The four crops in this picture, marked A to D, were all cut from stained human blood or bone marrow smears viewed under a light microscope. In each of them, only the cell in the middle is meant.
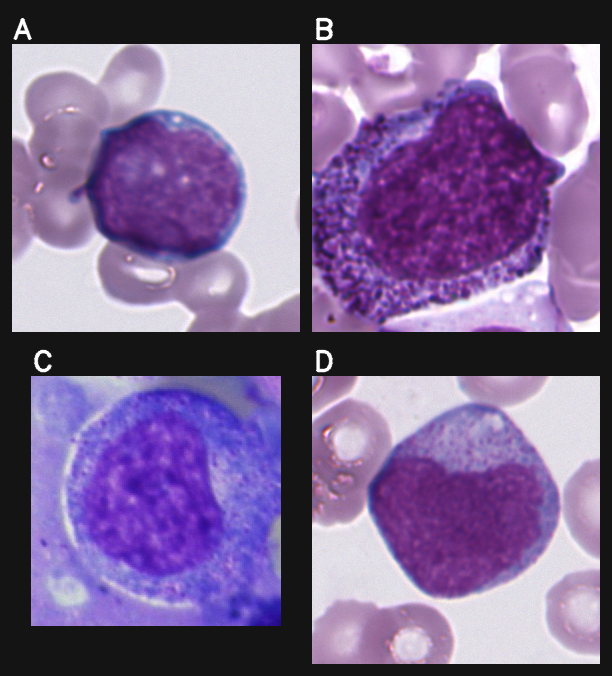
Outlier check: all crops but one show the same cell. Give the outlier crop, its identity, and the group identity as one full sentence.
Apart from crop A, which shows a blast, every crop shows promyelocytes.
